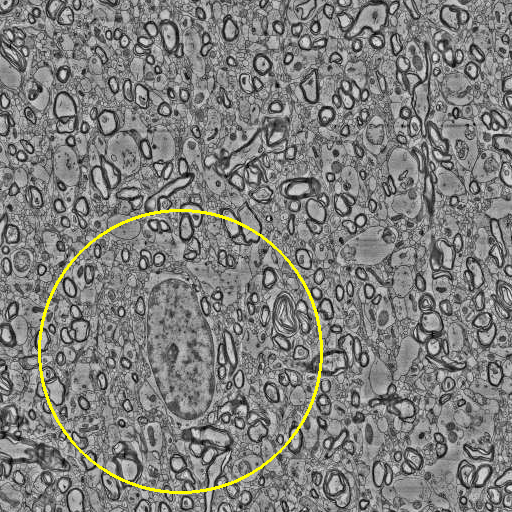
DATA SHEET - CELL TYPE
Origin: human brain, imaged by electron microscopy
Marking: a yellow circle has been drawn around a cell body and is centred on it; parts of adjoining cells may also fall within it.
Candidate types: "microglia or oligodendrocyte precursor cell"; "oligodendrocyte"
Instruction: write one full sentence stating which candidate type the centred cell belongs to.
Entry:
The cell body at the centre of the yellow ring in this micrograph belongs to a microglial cell or oligodendrocyte precursor cell.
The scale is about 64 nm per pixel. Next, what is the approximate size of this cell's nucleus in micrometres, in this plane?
Approximately 9 x 4 micrometres in this plane.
